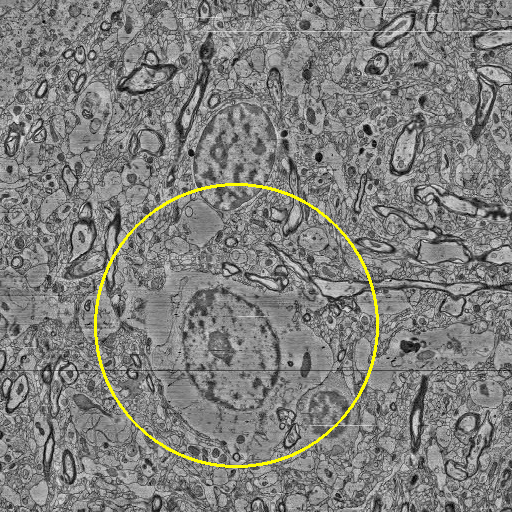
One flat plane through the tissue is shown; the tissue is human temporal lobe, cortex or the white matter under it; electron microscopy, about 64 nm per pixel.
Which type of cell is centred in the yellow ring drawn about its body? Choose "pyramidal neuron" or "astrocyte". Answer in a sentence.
The yellow ring surrounds the cell body of an astrocyte.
